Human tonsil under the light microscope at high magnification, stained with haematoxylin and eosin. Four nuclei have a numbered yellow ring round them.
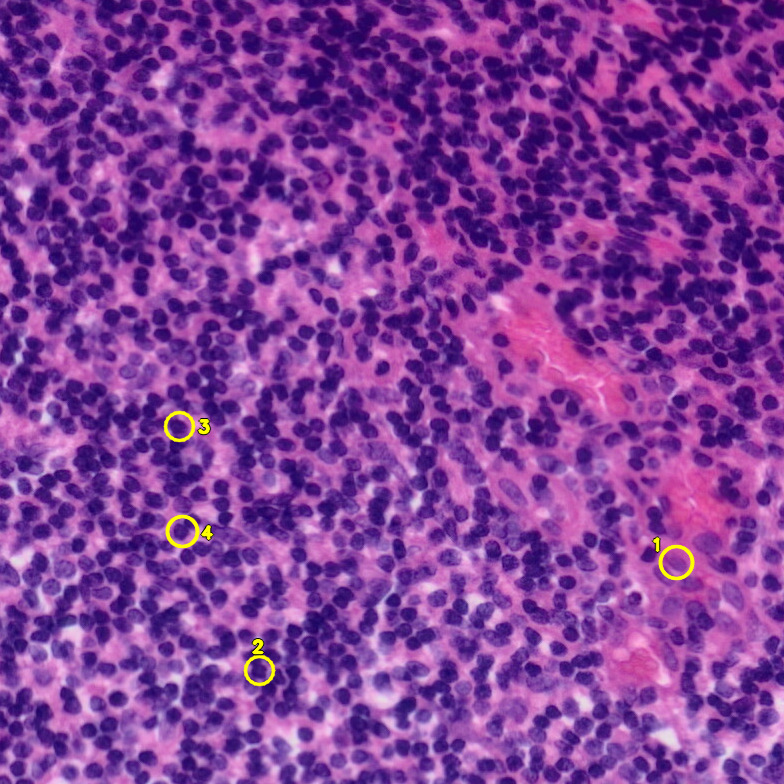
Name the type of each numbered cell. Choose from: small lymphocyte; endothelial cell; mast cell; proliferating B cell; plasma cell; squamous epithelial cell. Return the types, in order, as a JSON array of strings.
["endothelial cell", "small lymphocyte", "small lymphocyte", "small lymphocyte"]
